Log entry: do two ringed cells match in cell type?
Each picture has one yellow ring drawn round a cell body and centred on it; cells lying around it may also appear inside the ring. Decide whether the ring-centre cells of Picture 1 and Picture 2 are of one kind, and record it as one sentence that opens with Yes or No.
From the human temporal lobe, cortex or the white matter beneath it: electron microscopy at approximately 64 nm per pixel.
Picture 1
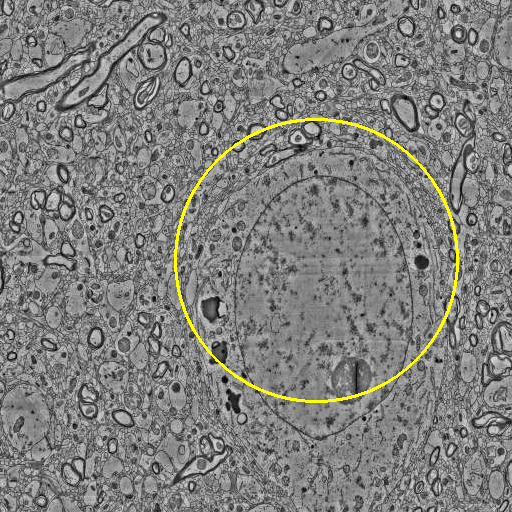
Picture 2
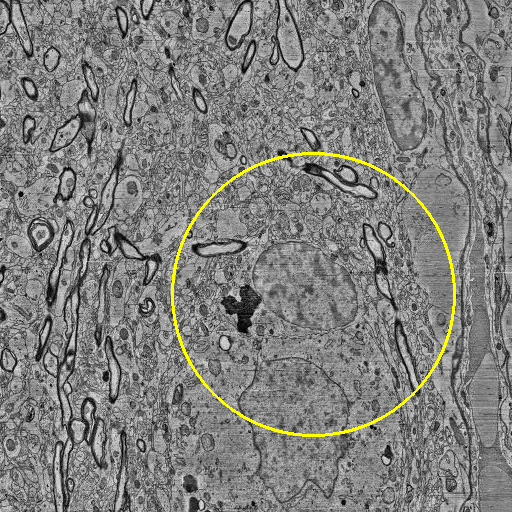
No, the cells at the ring centres of the two pictures belong to two kinds.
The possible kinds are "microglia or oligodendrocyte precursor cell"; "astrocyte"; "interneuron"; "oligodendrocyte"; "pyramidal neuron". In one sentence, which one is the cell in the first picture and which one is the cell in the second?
The cell ringed in the second picture is an oligodendrocyte, whereas the one ringed in the first is a pyramidal neuron.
